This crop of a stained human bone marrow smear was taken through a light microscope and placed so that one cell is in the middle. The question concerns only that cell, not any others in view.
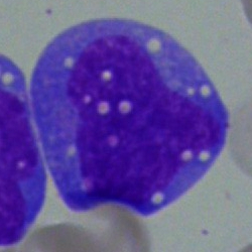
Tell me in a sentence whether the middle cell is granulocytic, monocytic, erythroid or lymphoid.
The cell at the center of this crop is categorized as monocytic in lineage.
